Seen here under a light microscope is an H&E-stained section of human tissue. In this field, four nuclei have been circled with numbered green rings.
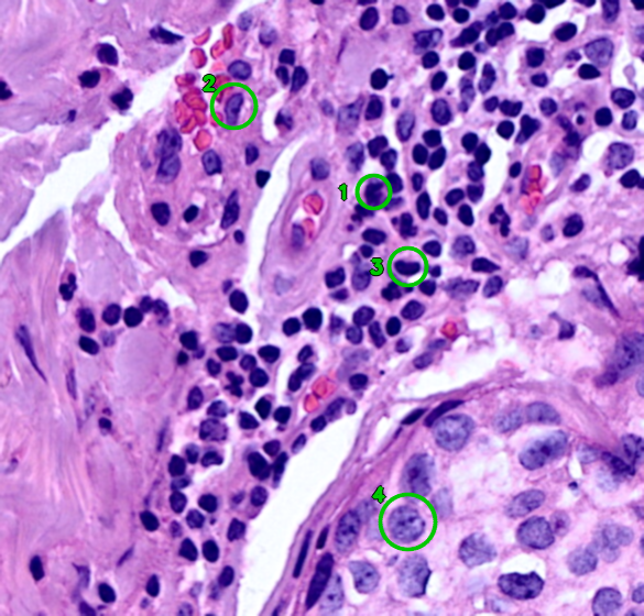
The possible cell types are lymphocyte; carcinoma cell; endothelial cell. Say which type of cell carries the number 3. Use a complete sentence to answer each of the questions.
The marked cell with the number 3 is recognised as a lymphocyte.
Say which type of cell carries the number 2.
Classified as an endothelial cell is the cell with the number 2.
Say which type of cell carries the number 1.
The cell that is numbered 1 is a lymphocyte.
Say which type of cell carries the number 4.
At number 4, the marked cell is a carcinoma cell.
